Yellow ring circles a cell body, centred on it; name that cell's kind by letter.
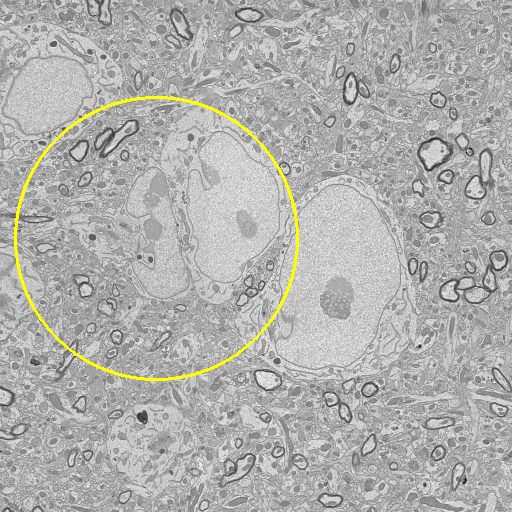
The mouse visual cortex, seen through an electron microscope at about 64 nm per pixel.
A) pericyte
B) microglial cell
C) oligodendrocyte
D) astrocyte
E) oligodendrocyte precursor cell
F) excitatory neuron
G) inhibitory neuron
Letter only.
E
